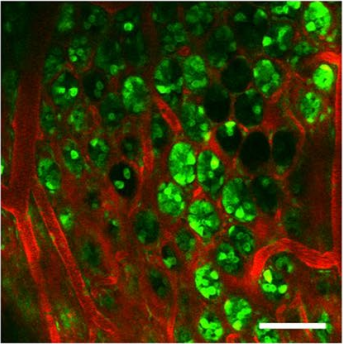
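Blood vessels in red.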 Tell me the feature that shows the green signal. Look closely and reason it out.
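Crypts. Green round to oval profiles are packed side by side in a honeycomb-like pattern. Each green profile is made of a cluster of cells around a centre. Thin red channels run between the green profiles.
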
